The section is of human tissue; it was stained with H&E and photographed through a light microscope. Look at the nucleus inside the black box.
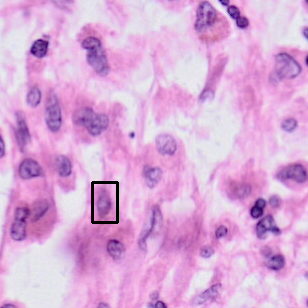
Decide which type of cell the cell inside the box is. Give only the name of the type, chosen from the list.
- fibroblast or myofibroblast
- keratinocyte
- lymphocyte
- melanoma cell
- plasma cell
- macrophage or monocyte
macrophage or monocyte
